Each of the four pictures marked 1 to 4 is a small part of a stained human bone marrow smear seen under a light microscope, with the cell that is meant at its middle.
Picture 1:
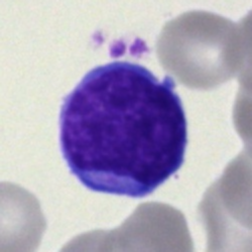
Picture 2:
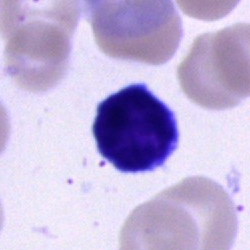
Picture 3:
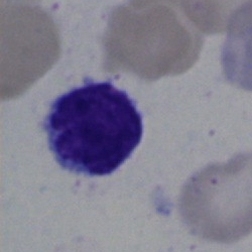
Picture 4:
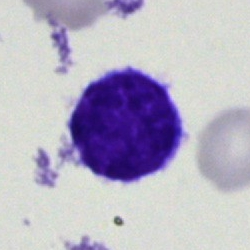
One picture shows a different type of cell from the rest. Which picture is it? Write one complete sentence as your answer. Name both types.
The others show lymphocytes, but picture 1 shows a blast.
